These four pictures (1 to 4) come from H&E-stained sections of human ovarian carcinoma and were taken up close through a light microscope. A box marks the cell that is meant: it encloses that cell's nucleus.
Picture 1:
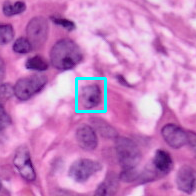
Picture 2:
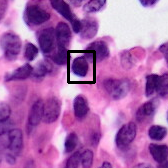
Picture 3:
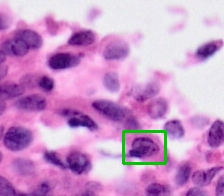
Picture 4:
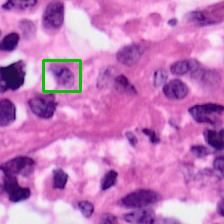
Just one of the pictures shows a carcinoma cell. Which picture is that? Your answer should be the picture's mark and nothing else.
2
